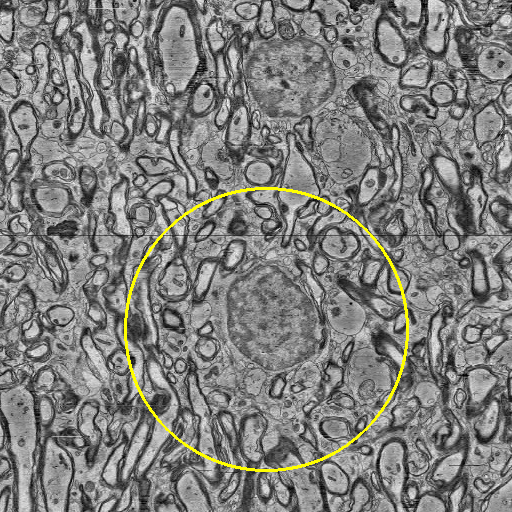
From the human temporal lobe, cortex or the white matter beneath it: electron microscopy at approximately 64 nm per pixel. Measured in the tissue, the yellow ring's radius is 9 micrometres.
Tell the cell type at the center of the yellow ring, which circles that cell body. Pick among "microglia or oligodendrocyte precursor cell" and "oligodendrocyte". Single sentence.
The ring is centered on the body of an oligodendrocyte.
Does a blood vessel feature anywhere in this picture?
No.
